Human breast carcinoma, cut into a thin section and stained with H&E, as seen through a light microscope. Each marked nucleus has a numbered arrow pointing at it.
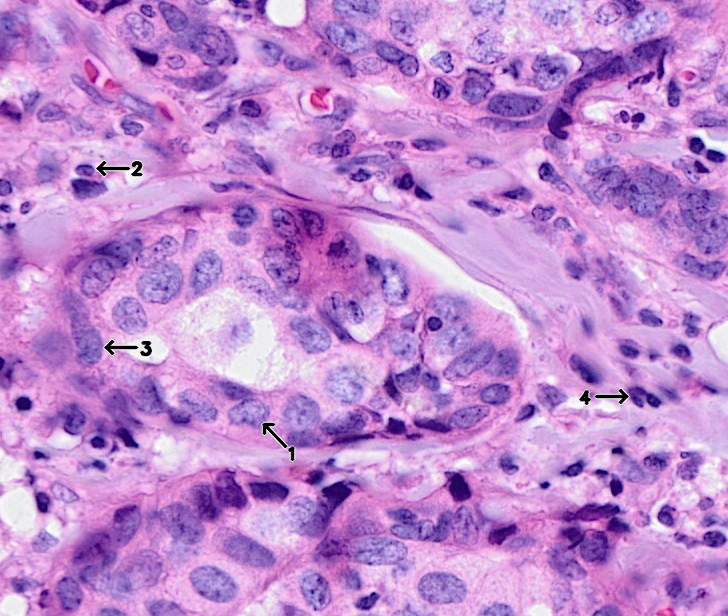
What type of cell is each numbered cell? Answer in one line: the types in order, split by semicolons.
carcinoma cell; lymphocyte; carcinoma cell; lymphocyte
